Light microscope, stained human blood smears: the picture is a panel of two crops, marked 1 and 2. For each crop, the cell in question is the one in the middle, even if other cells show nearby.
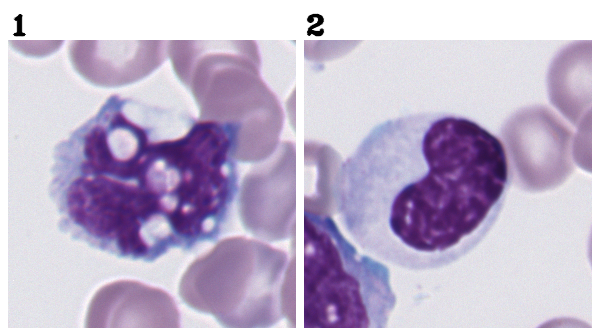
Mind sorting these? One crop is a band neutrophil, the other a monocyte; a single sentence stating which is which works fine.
Crop 1 displays a monocyte, and crop 2 displays a band neutrophil.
